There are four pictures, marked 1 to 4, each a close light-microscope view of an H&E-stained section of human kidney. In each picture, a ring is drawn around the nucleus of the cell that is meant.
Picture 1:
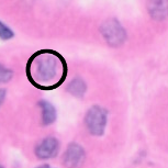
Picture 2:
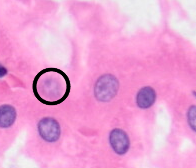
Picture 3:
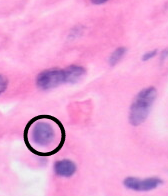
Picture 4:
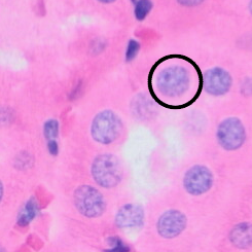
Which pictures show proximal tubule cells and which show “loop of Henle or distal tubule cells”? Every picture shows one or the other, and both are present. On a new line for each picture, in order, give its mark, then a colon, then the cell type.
1: loop of Henle or distal tubule cell
2: proximal tubule cell
3: loop of Henle or distal tubule cell
4: loop of Henle or distal tubule cell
